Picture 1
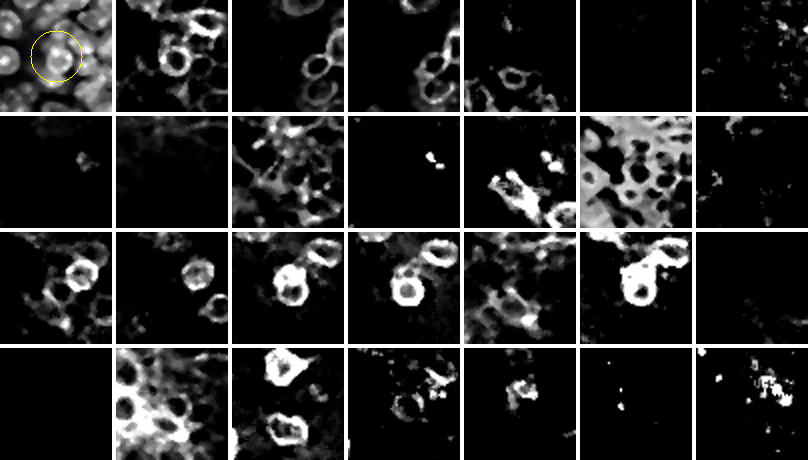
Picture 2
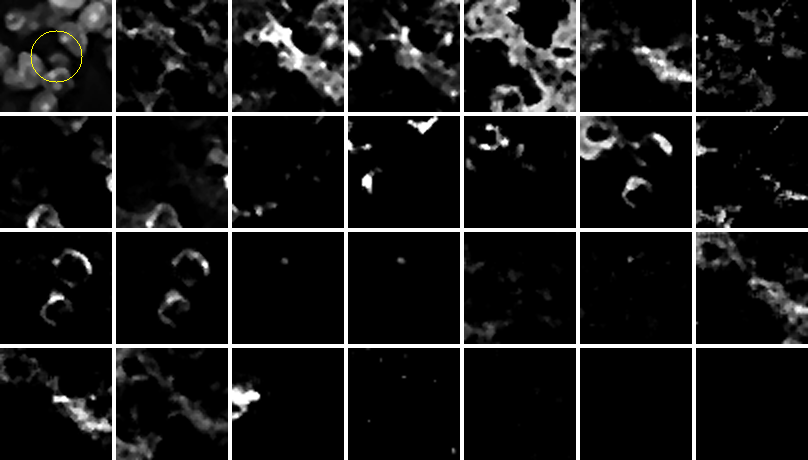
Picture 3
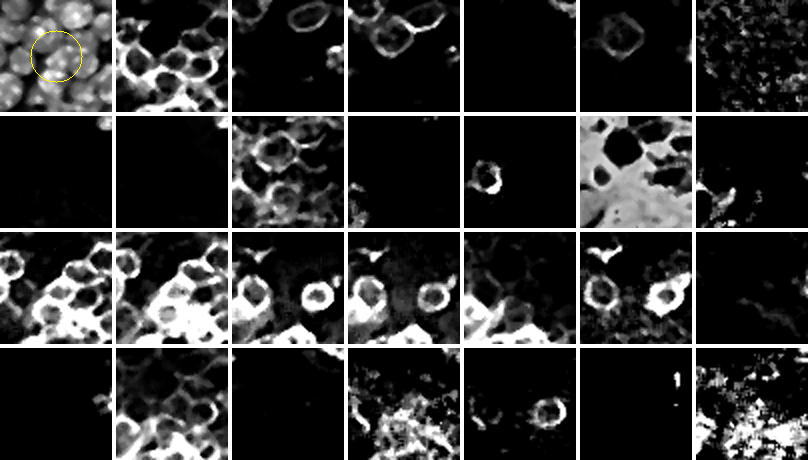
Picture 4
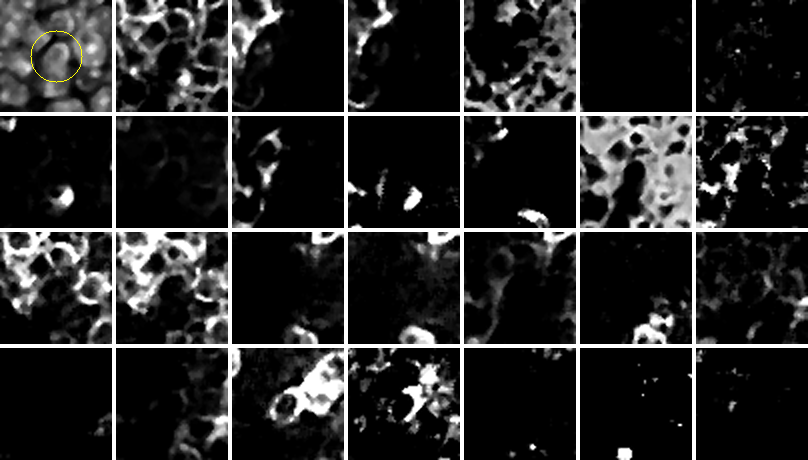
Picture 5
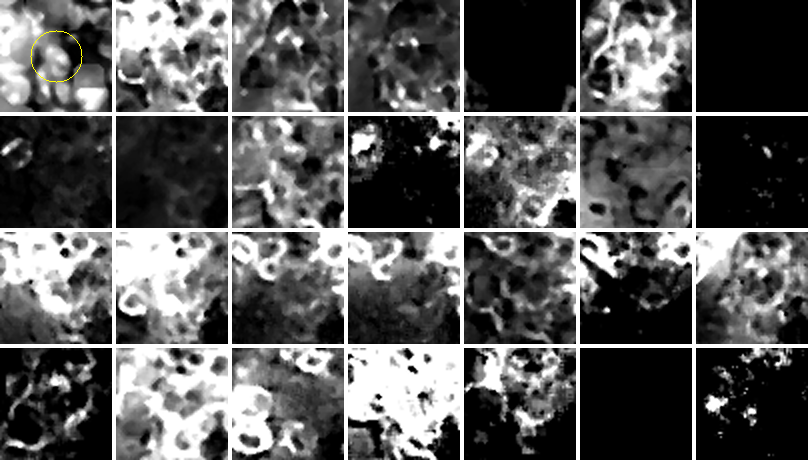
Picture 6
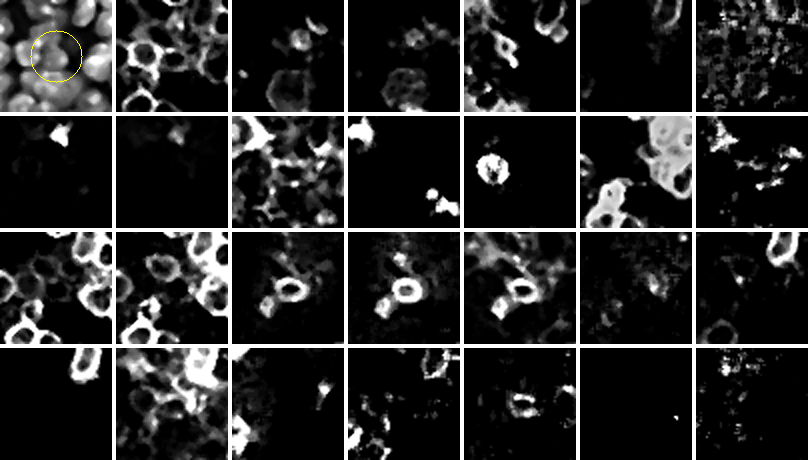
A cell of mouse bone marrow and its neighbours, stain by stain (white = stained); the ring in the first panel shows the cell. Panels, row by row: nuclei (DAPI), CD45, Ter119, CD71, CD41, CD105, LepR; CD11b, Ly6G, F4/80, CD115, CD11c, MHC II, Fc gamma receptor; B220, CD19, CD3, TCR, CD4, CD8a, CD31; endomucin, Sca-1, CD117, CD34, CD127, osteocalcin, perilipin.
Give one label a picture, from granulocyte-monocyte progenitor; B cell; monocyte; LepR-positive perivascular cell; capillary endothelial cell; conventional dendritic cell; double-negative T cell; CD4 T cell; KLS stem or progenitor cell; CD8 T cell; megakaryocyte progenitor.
(1) CD8 T cell
(2) capillary endothelial cell
(3) B cell
(4) granulocyte-monocyte progenitor
(5) B cell
(6) CD4 T cell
